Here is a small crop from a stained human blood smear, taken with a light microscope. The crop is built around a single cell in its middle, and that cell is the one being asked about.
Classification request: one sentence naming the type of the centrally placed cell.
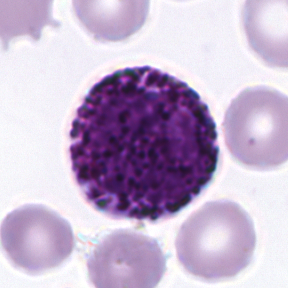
In the middle of this smear crop is a basophil.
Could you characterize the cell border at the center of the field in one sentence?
The membrane contour is even and smooth, with nothing projecting from it.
